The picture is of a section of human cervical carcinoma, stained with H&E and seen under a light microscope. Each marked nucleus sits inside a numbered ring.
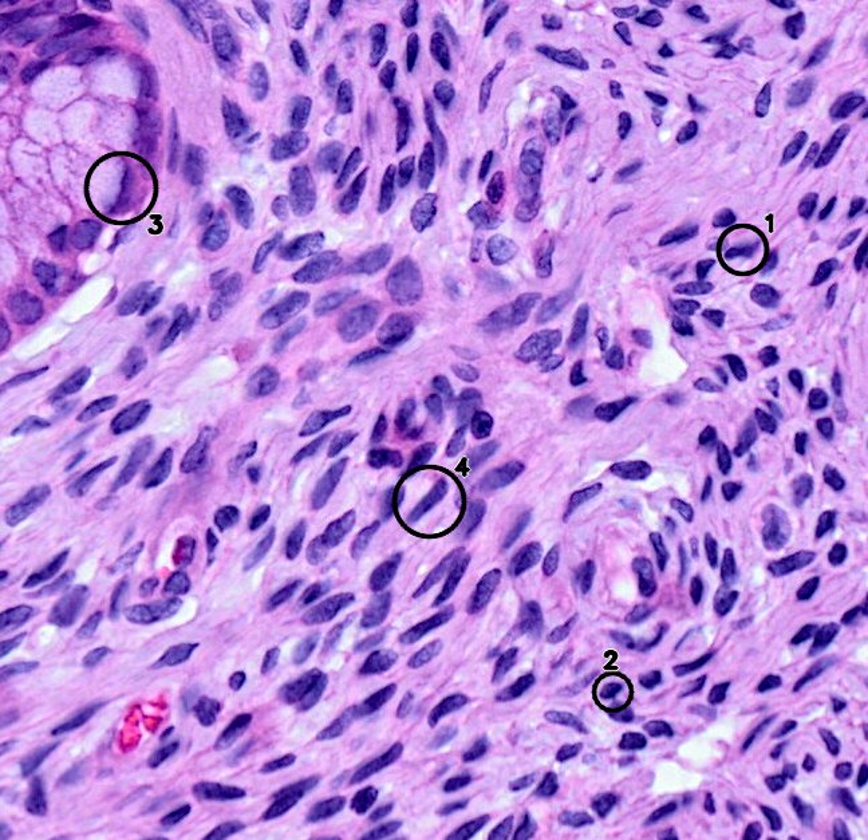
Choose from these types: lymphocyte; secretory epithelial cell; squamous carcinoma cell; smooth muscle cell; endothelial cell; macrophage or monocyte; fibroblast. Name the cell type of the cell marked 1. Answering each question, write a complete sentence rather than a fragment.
The cell numbered 1 represents a fibroblast.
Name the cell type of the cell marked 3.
Identified as a secretory epithelial cell is the cell bearing the number 3.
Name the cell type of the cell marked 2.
The numeral 2 marks a fibroblast in this section.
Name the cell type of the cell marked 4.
The label 4 in this section denotes a fibroblast.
